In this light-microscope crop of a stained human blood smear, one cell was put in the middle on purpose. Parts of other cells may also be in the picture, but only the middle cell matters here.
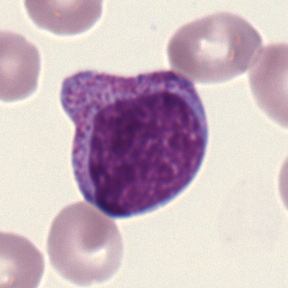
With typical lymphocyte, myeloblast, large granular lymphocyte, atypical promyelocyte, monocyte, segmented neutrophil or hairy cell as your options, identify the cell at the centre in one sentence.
The centrally located cell in the crop is an atypical promyelocyte.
